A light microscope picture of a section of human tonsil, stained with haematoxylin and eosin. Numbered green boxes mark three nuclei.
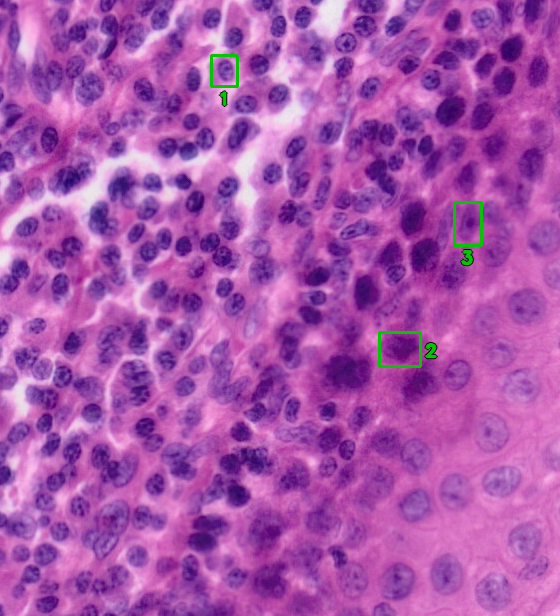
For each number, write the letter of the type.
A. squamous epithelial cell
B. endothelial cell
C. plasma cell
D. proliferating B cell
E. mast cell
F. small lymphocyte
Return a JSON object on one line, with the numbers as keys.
{"1": "C", "2": "A", "3": "A"}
